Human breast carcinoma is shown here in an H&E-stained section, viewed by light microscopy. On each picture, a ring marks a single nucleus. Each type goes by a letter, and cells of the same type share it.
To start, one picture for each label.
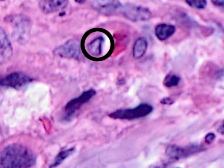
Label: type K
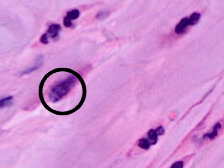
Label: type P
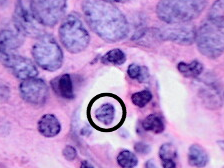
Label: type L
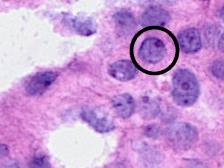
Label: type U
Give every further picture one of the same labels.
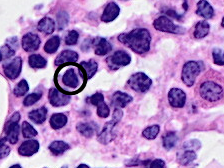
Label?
type L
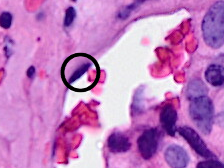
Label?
type K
